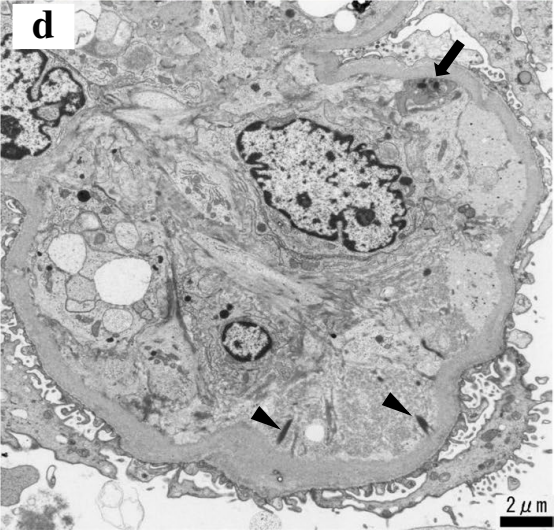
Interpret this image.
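This electron micrograph shows a single glomerular capillary loop whose subendothelial space is greatly widened by a broad grey band of material lying between the thin endothelium and the outer basement membrane, narrowing the lumen. A nucleated cell with irregular, clumped chromatin lies centrally, and another cell with pale vacuoles sits beside it. Near the upper edge a small anucleate fragment with dark granules is a platelet. Outside the loop, foot processes of the covering epithelial cells line the basement membrane.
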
